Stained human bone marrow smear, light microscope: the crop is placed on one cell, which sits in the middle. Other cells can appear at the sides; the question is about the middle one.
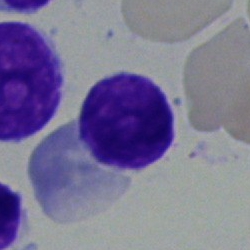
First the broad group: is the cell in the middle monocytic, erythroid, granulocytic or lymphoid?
lymphoid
